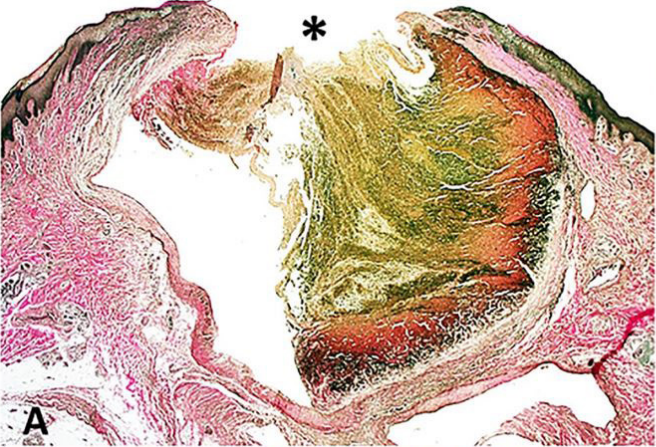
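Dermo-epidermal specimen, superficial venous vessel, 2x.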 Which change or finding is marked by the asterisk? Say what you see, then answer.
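The point of rupture. The vessel wall and overlying skin are interrupted at the top where the asterisk sits. The lumen filled with yellow-red material opens to the surface at that gap.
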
